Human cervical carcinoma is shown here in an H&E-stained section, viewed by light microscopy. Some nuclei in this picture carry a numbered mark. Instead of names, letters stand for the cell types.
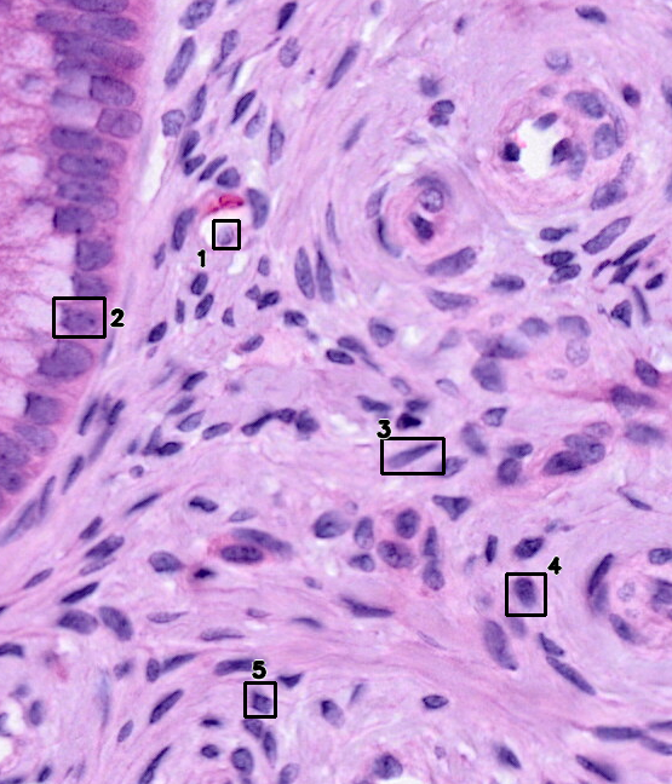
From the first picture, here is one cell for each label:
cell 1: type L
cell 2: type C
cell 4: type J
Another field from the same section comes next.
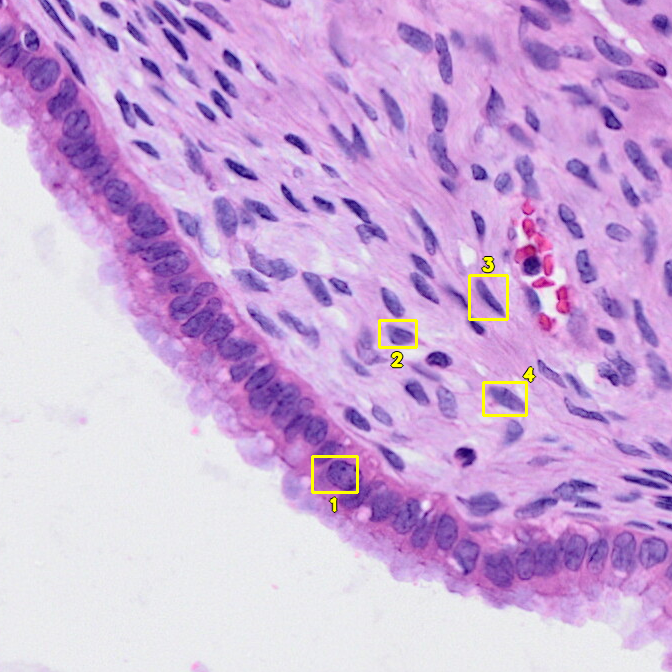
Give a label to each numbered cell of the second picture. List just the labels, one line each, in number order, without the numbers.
type C
type J
type J
type J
